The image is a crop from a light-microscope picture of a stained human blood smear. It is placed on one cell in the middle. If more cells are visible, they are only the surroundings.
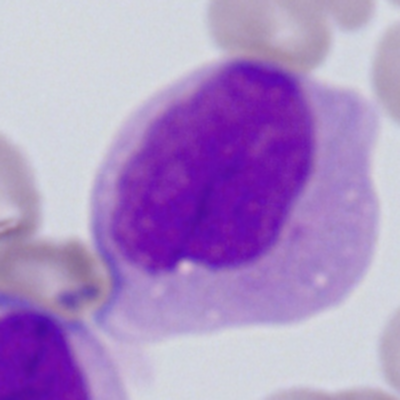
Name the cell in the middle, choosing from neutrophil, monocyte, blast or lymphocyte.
blast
